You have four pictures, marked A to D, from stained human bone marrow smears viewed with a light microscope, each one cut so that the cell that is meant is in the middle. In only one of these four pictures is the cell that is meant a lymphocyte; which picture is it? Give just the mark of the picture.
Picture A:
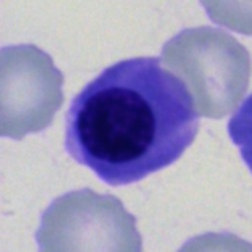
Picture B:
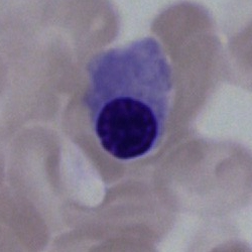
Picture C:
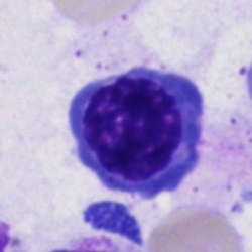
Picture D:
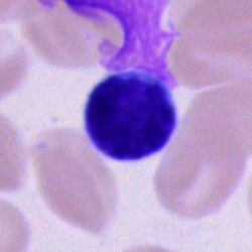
D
